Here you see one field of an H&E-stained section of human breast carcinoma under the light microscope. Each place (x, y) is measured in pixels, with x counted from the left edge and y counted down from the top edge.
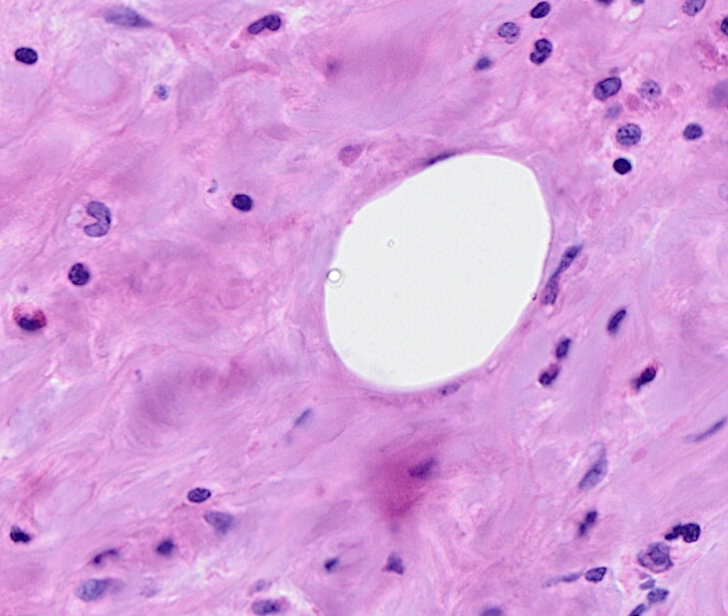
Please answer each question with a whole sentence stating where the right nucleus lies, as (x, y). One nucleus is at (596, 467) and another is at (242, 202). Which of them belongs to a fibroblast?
The nucleus at (596, 467) belongs to a fibroblast, which distinguishes it from the other nucleus.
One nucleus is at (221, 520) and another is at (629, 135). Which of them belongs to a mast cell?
The nucleus that belongs to a mast cell is located at (629, 135).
